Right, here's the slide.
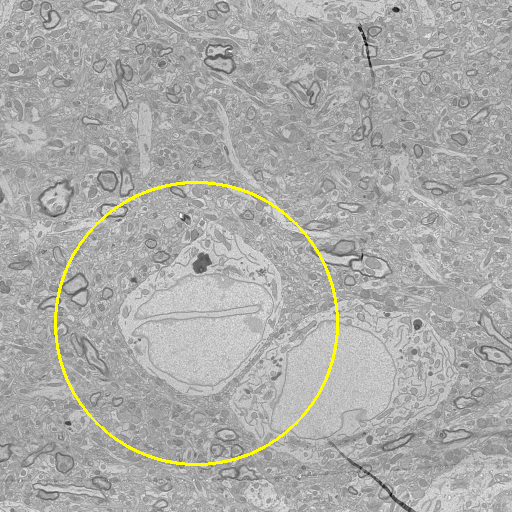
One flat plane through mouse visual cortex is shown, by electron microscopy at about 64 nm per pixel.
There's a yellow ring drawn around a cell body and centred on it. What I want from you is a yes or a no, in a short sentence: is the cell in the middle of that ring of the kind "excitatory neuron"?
Yes, it's of that kind.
